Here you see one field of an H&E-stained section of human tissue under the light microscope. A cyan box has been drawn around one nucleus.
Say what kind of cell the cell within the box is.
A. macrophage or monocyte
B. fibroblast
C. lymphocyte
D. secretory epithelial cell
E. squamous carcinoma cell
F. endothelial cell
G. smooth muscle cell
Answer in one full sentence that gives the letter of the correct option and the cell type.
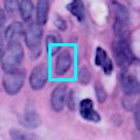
Option D describes the cell within the box accurately as a secretory epithelial cell.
